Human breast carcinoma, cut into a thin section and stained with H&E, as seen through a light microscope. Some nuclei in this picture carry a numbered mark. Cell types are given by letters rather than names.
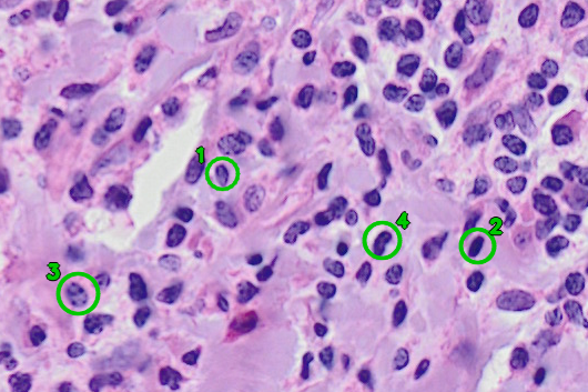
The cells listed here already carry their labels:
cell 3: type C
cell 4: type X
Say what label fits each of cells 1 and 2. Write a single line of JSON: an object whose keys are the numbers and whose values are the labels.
{"1": "type X", "2": "type X"}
